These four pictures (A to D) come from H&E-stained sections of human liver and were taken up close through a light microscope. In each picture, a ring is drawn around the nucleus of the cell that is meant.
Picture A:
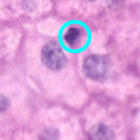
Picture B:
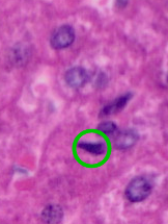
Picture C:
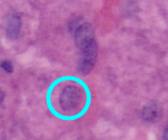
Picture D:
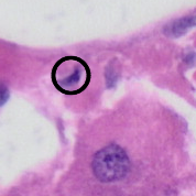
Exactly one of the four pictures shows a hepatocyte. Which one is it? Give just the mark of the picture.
C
